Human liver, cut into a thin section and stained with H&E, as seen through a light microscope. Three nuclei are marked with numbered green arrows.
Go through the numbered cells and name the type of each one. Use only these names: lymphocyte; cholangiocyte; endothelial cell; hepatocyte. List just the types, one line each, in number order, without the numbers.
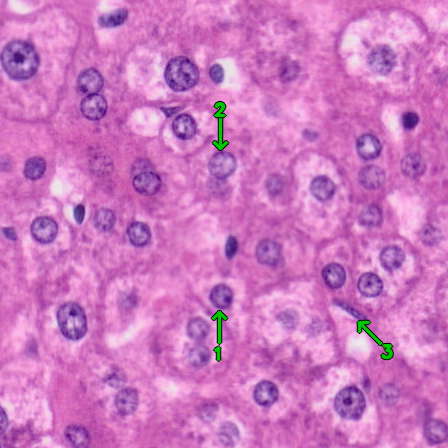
hepatocyte
hepatocyte
endothelial cell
